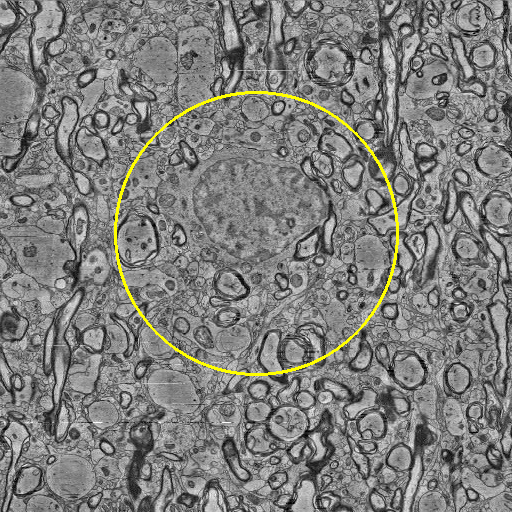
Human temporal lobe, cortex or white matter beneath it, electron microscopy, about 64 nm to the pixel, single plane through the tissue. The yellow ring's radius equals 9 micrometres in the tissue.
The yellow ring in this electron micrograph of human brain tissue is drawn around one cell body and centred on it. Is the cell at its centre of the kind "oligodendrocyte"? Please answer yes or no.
yes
